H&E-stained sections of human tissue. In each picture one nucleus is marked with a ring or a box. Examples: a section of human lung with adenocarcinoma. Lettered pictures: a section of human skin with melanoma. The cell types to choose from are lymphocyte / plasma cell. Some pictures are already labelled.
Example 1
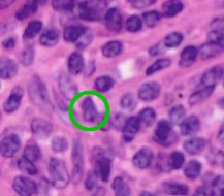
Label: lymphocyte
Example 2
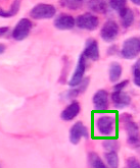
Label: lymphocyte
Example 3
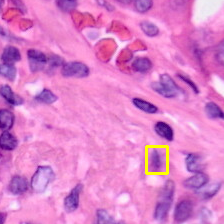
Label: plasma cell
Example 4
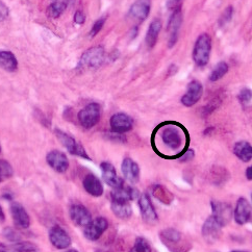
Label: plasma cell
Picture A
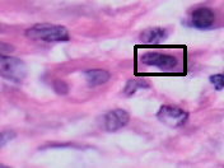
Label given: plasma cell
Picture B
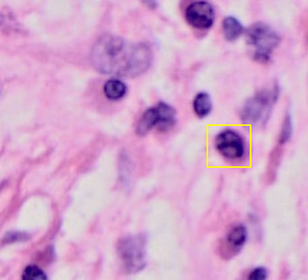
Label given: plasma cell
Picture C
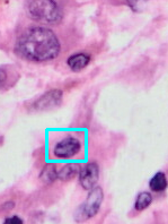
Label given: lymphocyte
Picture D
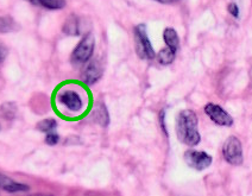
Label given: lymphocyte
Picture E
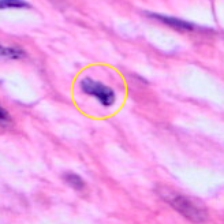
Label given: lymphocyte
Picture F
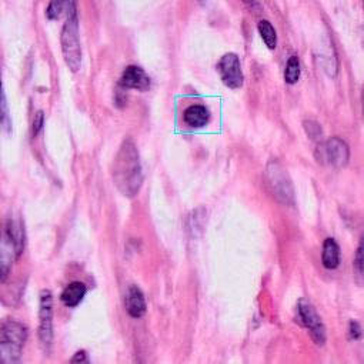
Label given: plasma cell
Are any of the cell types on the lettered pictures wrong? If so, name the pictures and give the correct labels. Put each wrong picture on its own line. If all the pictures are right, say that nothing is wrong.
All labels are correct.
